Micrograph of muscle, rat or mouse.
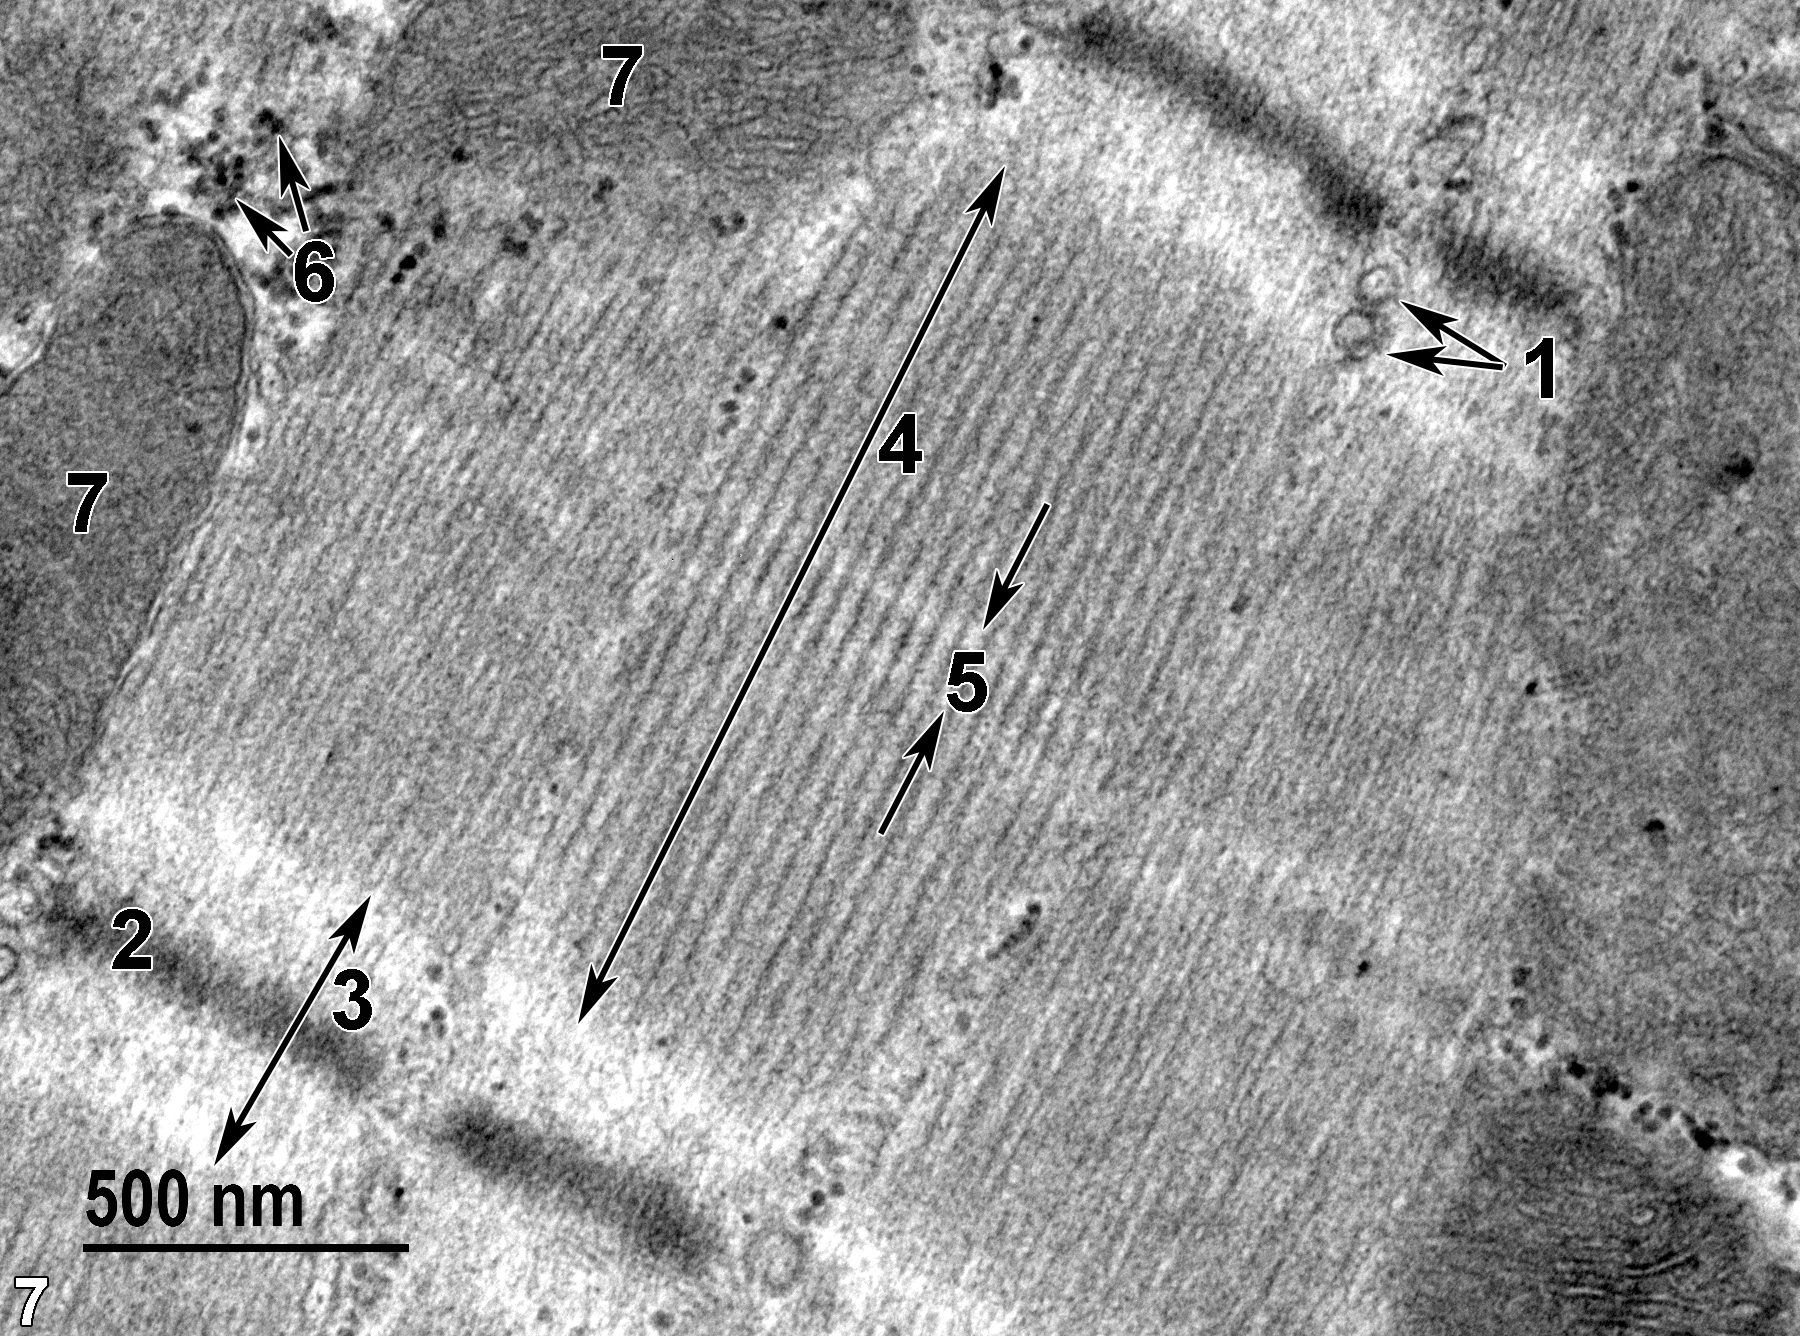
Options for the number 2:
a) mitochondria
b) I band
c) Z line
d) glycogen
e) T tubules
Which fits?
c) Z line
